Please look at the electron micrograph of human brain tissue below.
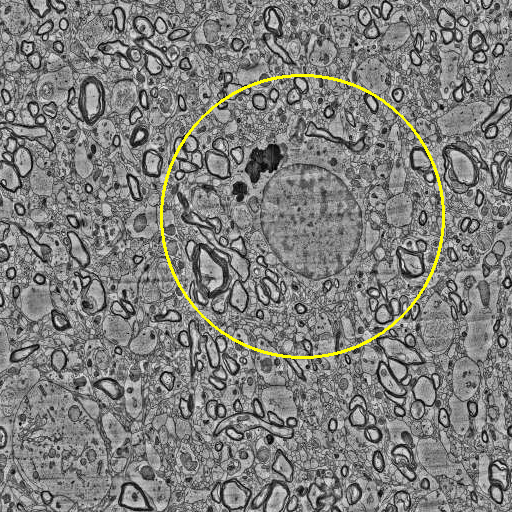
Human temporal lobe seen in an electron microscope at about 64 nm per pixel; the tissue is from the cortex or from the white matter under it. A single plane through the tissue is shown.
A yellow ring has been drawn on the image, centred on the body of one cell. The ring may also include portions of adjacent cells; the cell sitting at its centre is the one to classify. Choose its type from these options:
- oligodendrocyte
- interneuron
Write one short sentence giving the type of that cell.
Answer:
The cell in the middle of the ring is an oligodendrocyte.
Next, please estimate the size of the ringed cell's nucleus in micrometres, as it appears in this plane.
Approximately 8 by 6 micrometers in this plane.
